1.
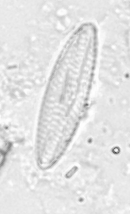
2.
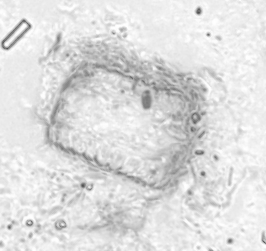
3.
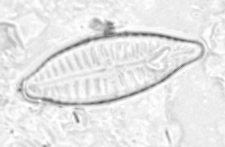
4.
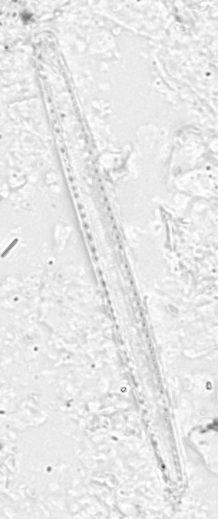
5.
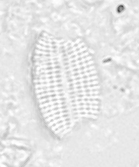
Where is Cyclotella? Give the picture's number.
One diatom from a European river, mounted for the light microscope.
2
